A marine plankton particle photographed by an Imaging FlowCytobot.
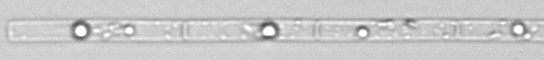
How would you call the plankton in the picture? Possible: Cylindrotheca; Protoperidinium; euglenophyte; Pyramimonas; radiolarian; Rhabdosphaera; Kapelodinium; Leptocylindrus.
I would call it Leptocylindrus.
